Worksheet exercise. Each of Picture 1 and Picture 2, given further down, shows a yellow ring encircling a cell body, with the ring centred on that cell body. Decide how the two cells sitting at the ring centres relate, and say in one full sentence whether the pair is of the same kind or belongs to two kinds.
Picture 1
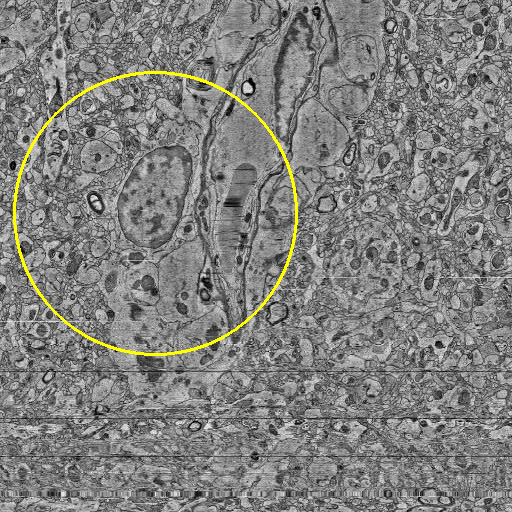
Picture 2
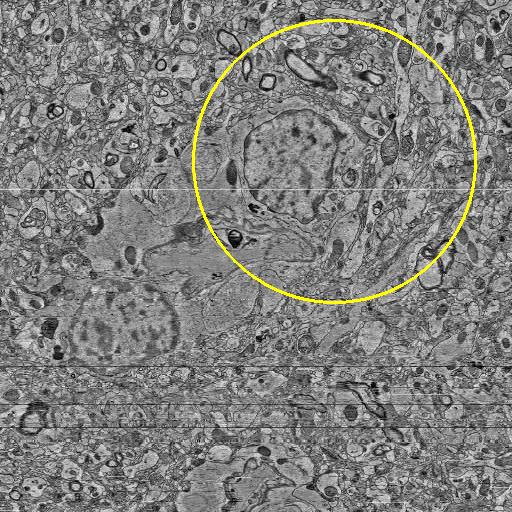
The cells at the ring centres in Picture 1 and Picture 2 are of the same kind.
